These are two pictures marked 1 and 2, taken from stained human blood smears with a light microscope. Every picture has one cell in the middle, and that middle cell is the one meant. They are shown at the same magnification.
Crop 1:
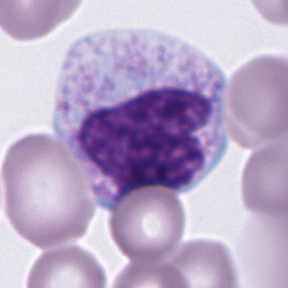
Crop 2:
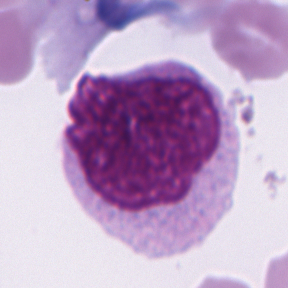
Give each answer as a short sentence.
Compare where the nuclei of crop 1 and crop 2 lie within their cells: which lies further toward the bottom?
It is the nucleus in crop 1 that lies further toward the bottom of its cell.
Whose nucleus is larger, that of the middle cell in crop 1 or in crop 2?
It is the nucleus in crop 2, about 1.5 times as large in area as the one in crop 1.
